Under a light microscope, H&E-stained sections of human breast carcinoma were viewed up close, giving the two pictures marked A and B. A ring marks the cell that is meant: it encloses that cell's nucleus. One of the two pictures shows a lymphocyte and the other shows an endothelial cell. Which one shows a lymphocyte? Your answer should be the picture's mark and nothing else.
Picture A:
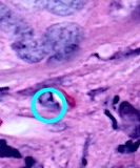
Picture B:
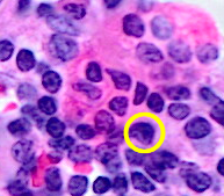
B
